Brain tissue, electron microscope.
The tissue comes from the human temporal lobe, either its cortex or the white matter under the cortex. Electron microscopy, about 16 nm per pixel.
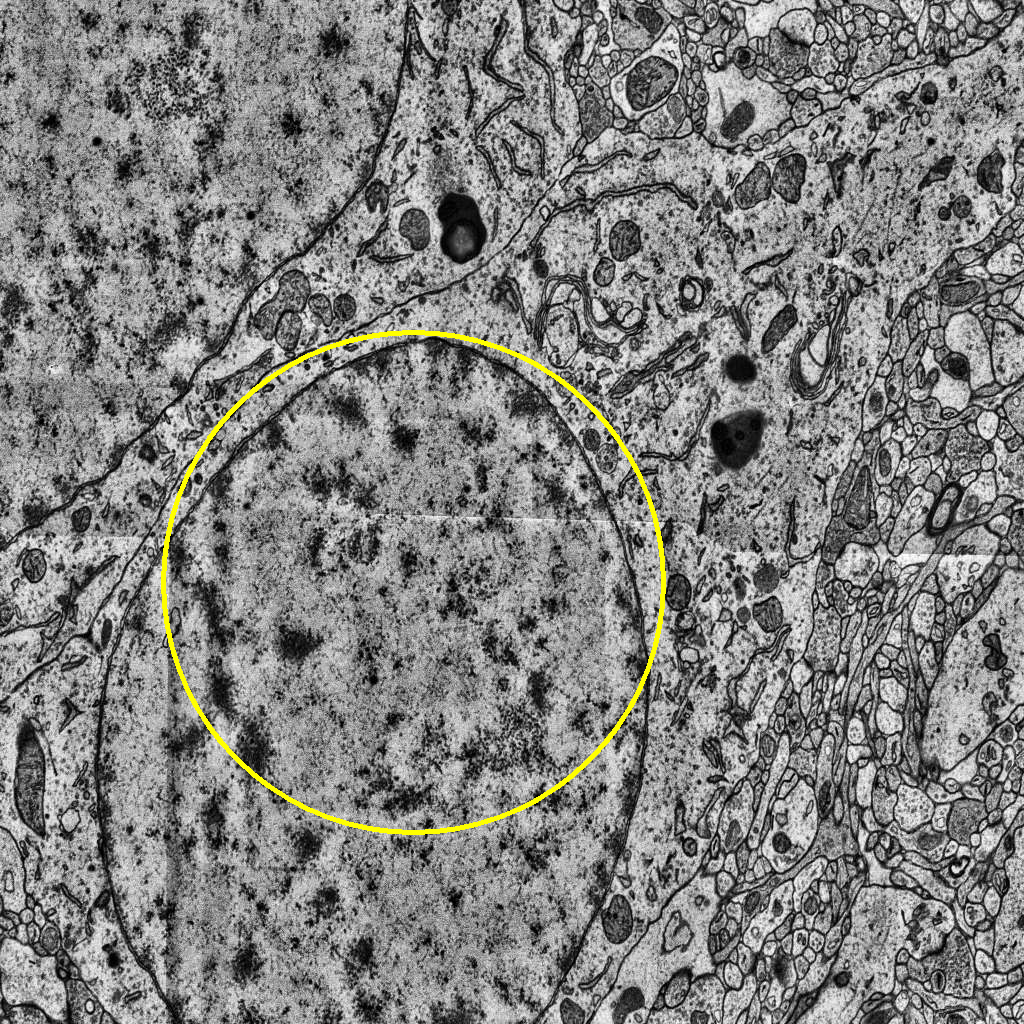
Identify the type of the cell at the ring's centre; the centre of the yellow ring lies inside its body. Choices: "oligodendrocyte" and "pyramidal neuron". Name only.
pyramidal neuron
